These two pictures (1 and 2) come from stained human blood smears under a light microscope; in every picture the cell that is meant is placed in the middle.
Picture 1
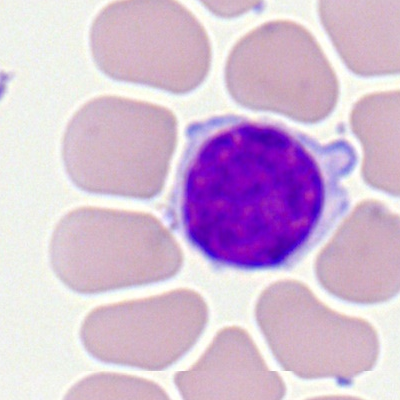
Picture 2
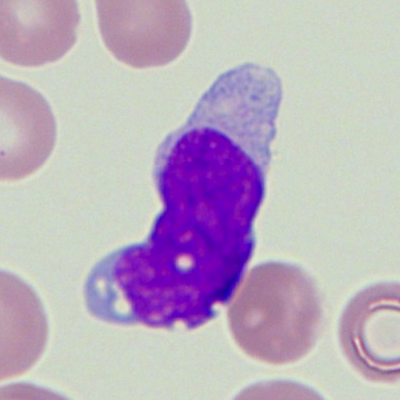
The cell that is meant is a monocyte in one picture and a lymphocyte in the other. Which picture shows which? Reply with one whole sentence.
It is picture 1 that shows a lymphocyte, and picture 2 that shows a monocyte.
